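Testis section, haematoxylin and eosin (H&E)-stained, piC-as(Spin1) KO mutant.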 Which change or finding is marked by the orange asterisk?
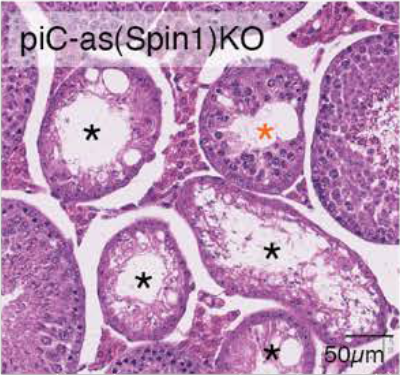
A: Meiotic defect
